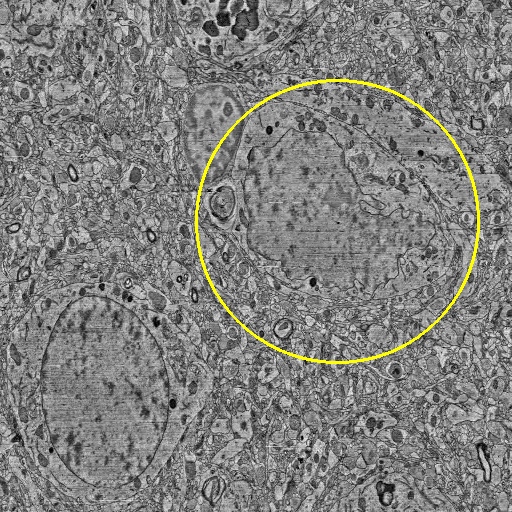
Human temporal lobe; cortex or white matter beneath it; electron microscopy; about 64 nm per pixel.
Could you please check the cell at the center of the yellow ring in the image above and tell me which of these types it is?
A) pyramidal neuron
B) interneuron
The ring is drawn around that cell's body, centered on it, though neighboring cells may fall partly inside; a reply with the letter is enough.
B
